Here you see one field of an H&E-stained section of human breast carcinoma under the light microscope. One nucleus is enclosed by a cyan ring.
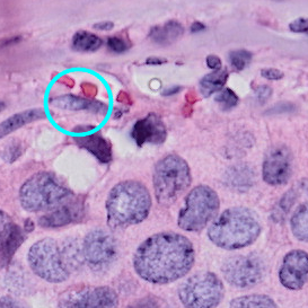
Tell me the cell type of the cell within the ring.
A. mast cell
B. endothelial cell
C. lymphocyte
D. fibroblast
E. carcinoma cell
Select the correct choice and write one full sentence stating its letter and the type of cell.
The correct option, B, describes the cell within the ring as an endothelial cell.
